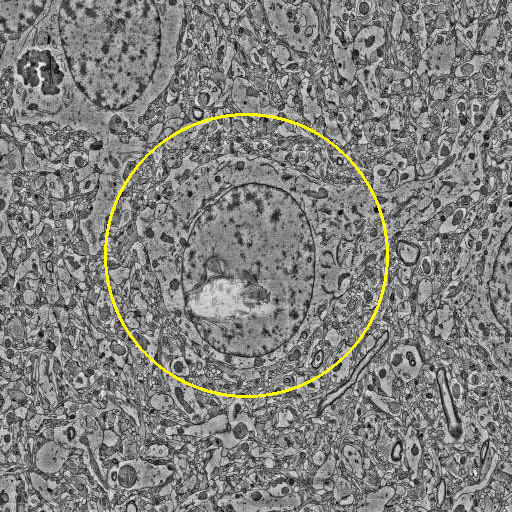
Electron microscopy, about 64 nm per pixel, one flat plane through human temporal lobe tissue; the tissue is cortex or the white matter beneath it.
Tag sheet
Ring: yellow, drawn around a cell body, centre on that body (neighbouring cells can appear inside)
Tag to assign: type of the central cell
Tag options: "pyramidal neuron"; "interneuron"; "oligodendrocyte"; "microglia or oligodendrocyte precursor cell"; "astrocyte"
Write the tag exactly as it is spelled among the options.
pyramidal neuron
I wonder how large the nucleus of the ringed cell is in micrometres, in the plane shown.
In this plane, the nucleus is roughly 11 by 8 micrometres.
